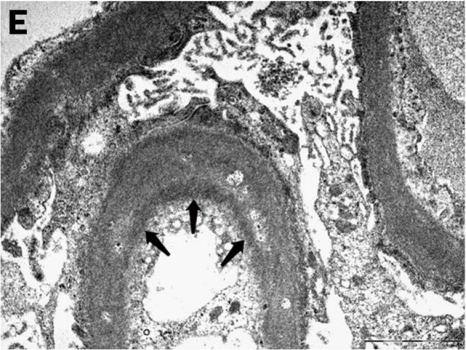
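A transmission electron micrograph of a glomerular capillary loop. The capillary wall is markedly thickened into a broad grey band curving around a pale lumen. Along its inner, lumen-facing side lies fine, speckled dark granular material, like scattered pepper grains, pointed out by arrows. Above the loop lies epithelial cytoplasm with many small pale vacuoles and irregular membrane profiles, and another thickened wall runs along the right. The fine granular material beneath the endothelium corresponds to ground-pepper-like subendothelial deposits, with vacuolated overlying cell cytoplasm.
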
